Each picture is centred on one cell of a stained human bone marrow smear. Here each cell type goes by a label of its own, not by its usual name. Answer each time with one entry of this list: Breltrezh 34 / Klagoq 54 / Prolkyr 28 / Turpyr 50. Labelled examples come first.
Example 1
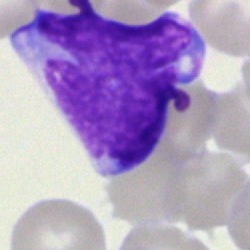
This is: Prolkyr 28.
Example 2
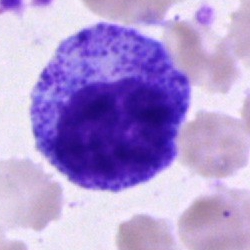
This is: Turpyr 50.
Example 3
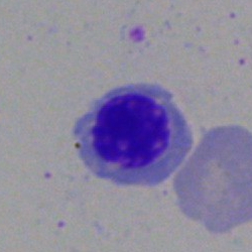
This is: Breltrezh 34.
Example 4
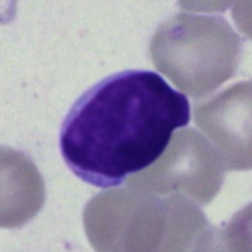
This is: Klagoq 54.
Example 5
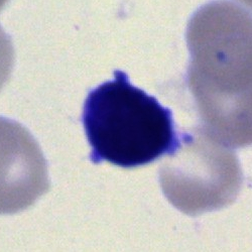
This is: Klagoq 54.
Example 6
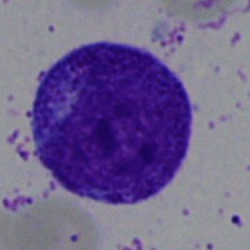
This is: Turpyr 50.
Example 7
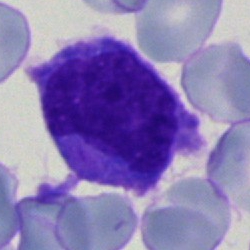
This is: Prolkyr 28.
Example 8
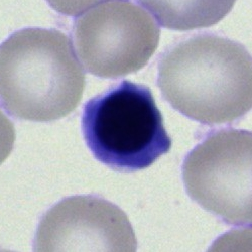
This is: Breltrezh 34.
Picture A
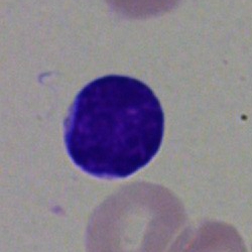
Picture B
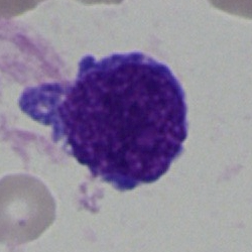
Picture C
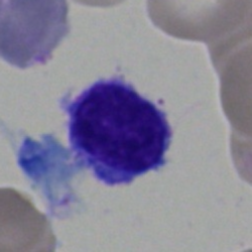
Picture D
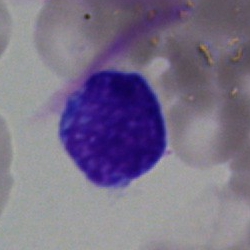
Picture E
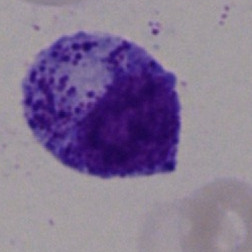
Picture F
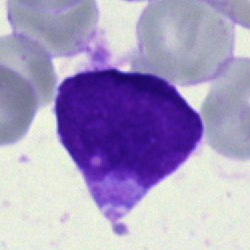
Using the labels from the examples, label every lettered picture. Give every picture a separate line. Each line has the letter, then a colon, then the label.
A: Prolkyr 28.
B: Prolkyr 28.
C: Klagoq 54.
D: Klagoq 54.
E: Turpyr 50.
F: Prolkyr 28.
